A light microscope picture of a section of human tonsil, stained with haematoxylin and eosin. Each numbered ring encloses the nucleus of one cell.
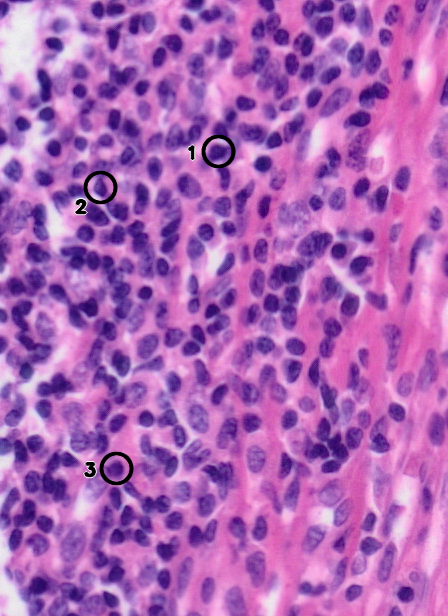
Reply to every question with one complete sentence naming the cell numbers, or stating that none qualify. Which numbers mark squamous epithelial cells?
The numbered cells, every one of them, are not squamous epithelial cells.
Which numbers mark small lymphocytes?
Cells 1 and 2 are of one type, namely small lymphocytes.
